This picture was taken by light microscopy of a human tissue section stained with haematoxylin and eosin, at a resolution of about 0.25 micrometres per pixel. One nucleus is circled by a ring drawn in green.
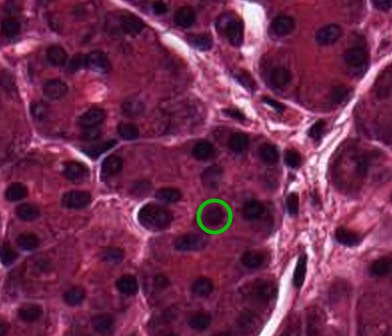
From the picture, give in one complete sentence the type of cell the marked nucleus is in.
The nucleus singled out by the mark belongs to a pancreatic acinar cell.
